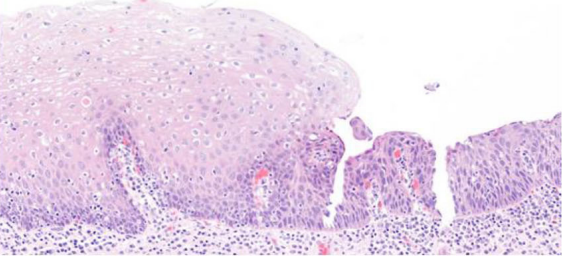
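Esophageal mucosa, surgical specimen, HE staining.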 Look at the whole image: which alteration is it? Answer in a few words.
Abrupt transition from lichenoid changes to frank dysplasia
